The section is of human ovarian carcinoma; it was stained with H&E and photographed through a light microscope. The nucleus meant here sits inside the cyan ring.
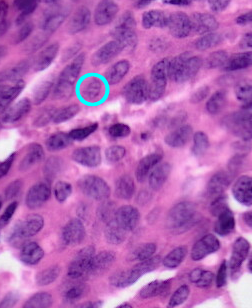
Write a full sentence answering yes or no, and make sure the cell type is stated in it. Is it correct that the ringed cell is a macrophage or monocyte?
No, the ringed cell is recognized as a carcinoma cell rather than a macrophage or monocyte.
